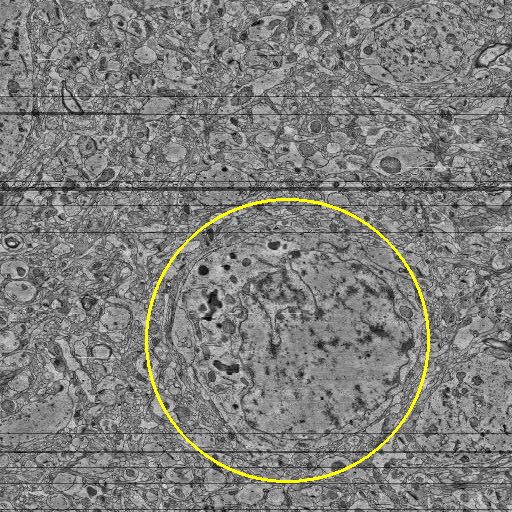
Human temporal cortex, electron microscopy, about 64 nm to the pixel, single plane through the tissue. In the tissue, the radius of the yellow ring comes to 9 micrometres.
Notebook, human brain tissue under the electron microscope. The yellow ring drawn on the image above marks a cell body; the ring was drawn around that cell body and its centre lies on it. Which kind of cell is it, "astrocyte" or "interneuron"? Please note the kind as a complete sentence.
The marked cell body is that of an interneuron.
